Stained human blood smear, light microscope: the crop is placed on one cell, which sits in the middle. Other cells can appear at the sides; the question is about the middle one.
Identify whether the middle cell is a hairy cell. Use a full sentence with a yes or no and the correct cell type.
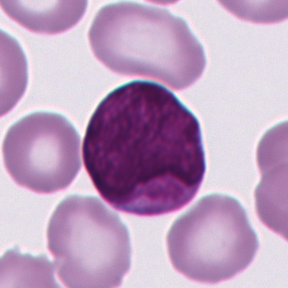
No, the cell in the middle is categorised as a myeloblast, not a hairy cell.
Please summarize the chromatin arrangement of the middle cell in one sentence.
What stands out is chromatin that is coarsely clumped.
